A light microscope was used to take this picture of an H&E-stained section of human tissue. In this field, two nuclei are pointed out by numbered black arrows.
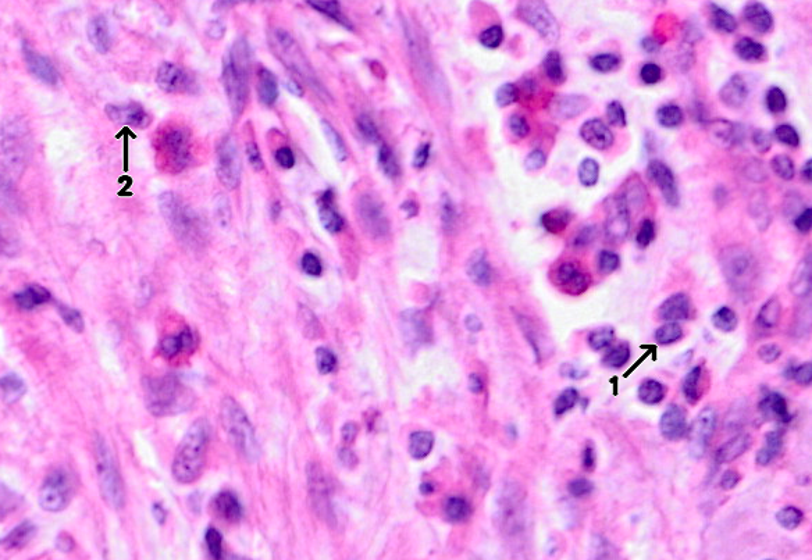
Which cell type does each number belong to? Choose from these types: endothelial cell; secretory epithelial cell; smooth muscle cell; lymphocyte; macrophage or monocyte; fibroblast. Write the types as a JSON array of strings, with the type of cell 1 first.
["lymphocyte", "macrophage or monocyte"]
